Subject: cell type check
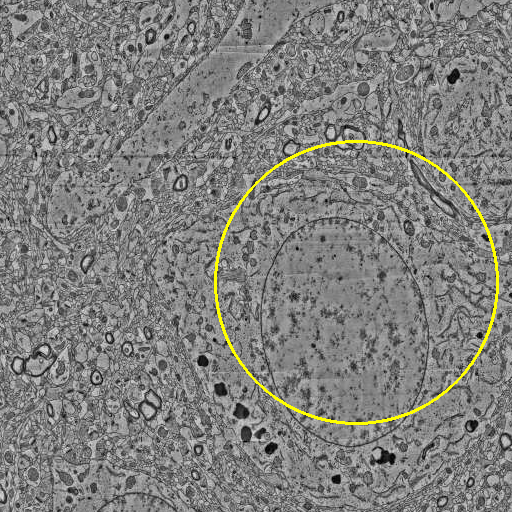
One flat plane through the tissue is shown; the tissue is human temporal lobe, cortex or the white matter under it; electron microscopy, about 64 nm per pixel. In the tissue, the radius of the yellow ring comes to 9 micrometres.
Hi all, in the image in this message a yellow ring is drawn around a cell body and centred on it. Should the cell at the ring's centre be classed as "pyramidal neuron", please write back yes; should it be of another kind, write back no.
yes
